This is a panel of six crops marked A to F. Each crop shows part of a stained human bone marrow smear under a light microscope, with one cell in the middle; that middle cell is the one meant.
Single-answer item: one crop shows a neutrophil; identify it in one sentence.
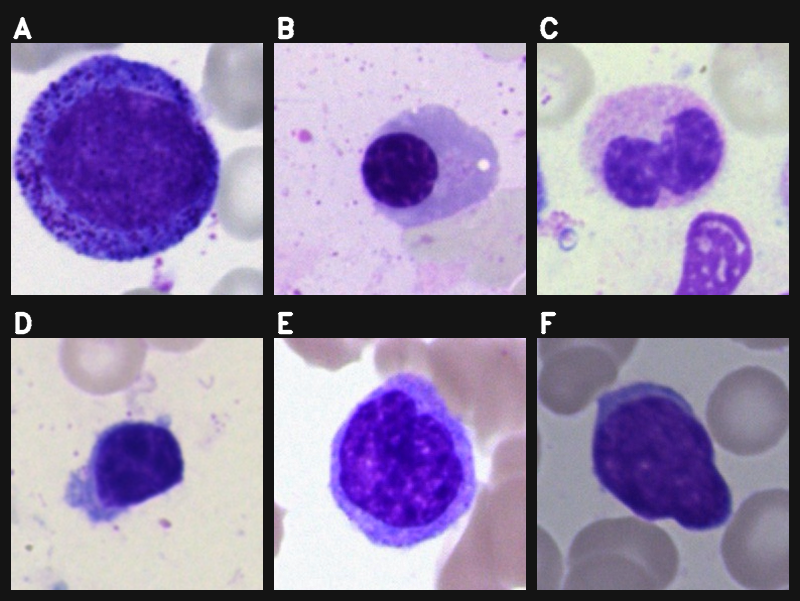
The one showing a neutrophil is the crop labelled C.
